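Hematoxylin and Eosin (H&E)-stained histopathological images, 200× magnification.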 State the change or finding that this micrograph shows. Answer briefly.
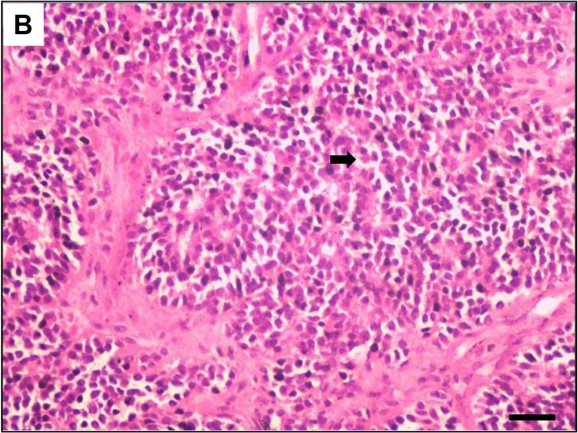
Small round cell malignant tumor.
